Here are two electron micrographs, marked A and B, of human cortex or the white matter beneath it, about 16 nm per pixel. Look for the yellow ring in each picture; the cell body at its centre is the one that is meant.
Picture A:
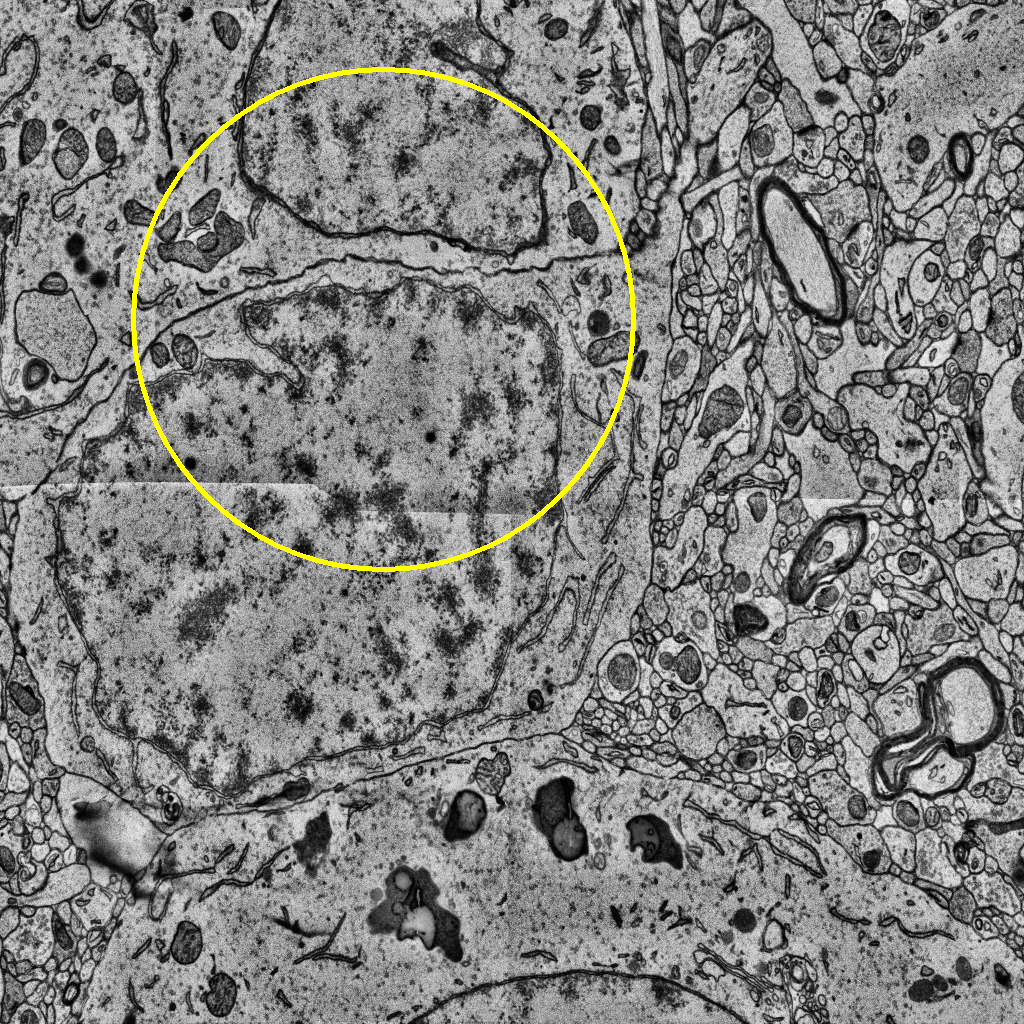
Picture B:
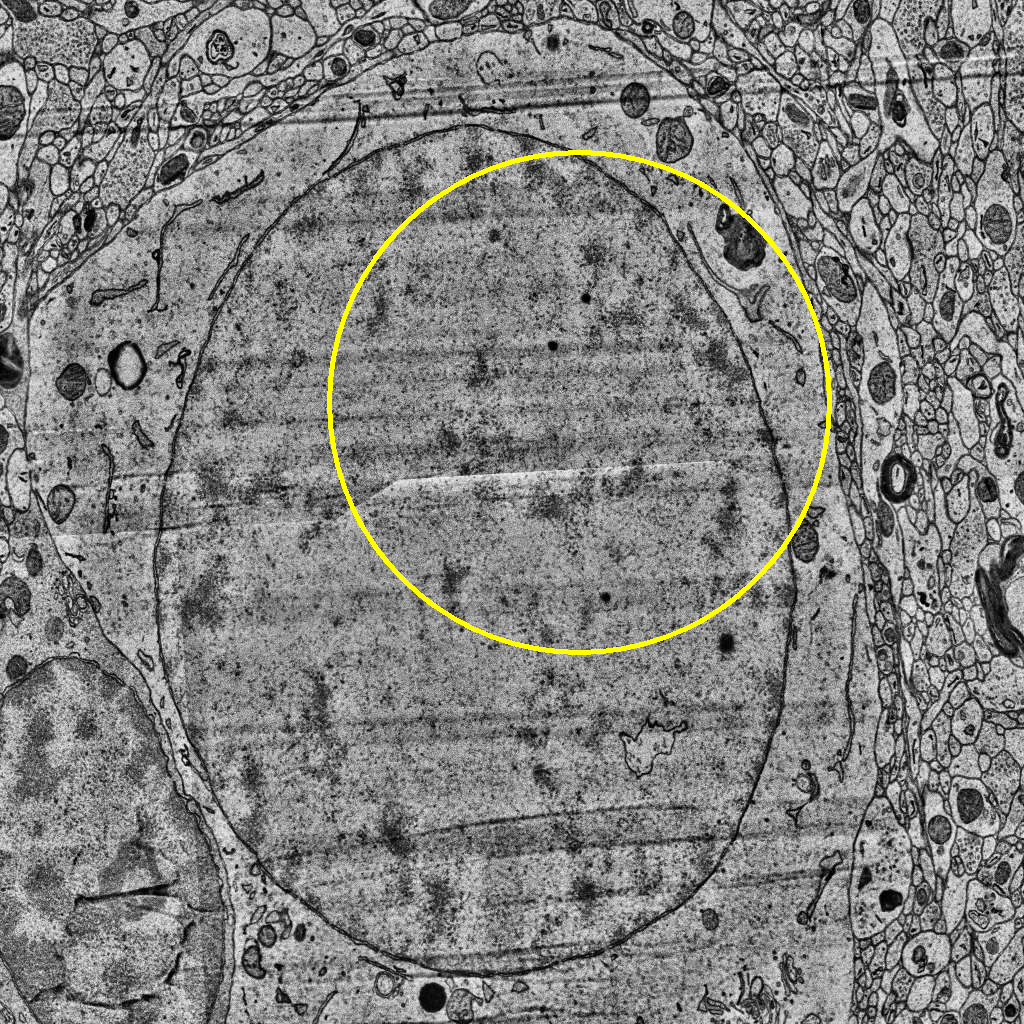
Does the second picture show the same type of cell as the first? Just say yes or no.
no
